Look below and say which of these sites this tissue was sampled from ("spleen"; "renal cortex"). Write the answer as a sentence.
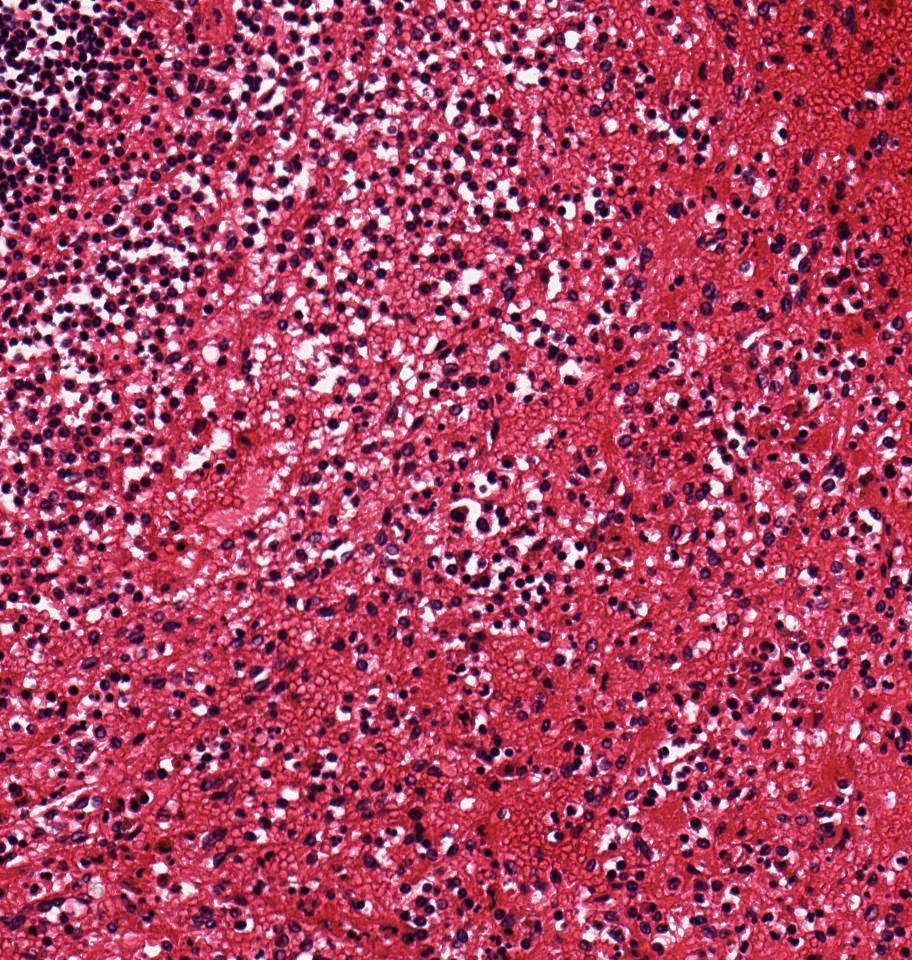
The site this tissue was sampled from is the spleen.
